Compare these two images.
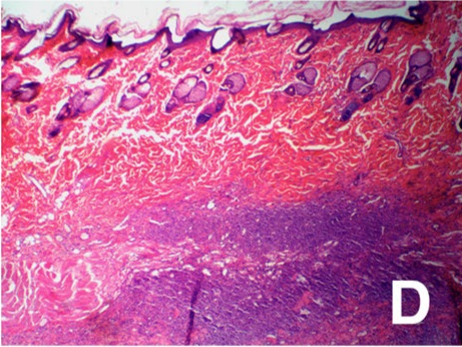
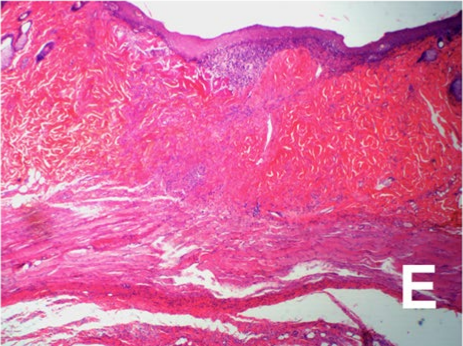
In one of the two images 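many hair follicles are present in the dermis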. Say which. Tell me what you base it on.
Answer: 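The first image. Second image: only a few follicles at the edges of the dermis. First image: numerous follicles in a row across the upper dermis.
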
